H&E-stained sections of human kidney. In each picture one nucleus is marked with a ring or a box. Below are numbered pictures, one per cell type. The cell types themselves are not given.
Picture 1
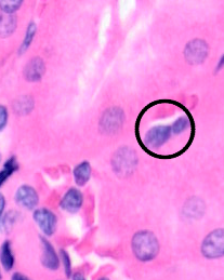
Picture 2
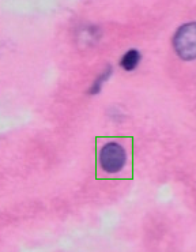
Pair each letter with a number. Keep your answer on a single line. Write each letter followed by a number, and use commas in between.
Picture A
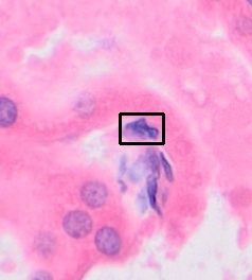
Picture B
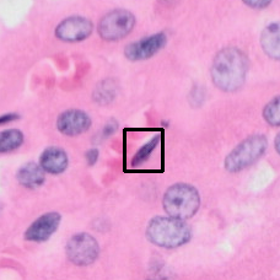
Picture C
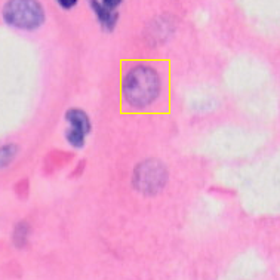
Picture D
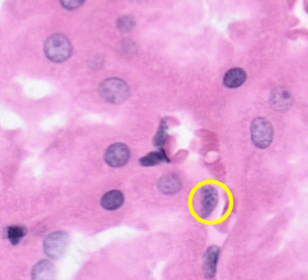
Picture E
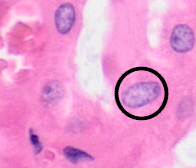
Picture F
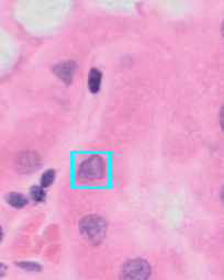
A 1, B 1, C 2, D 1, E 2, F 2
